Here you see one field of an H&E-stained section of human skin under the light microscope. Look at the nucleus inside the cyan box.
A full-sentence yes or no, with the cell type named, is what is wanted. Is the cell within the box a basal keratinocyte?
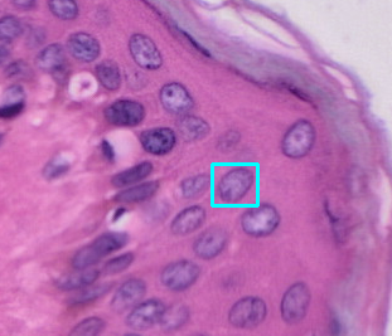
No, the cell within the box is classed as a suprabasal keratinocyte, not a basal keratinocyte.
